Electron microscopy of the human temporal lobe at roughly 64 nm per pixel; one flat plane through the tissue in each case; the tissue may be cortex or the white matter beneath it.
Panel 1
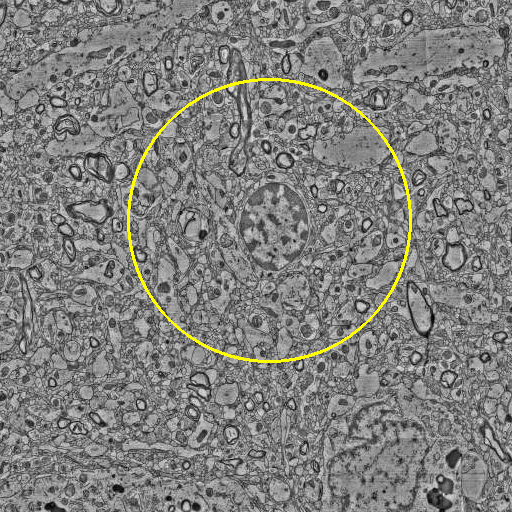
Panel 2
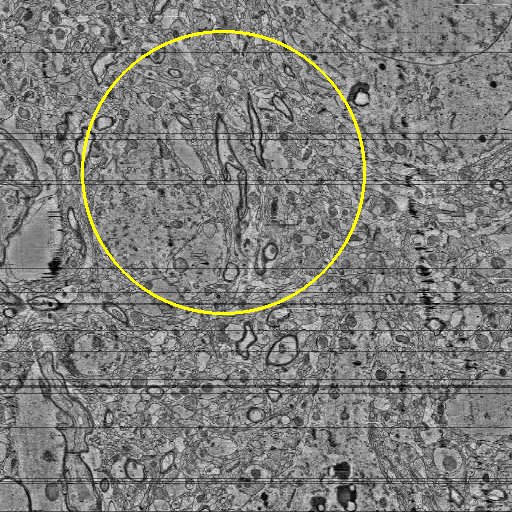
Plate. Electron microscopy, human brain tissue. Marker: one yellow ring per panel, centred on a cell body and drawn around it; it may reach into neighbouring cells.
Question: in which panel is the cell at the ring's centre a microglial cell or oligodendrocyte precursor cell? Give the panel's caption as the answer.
Panel 1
